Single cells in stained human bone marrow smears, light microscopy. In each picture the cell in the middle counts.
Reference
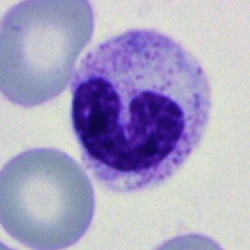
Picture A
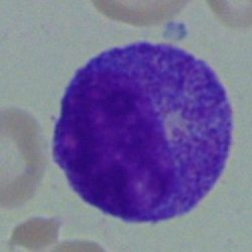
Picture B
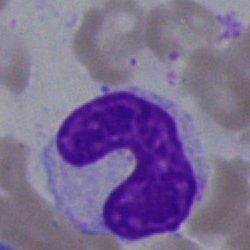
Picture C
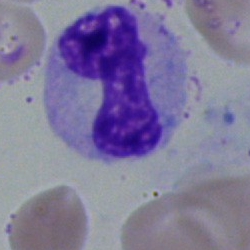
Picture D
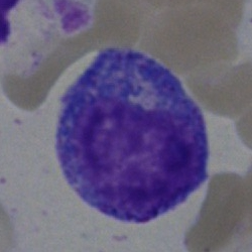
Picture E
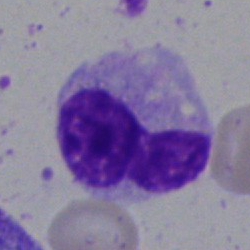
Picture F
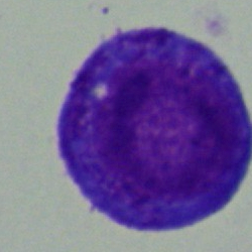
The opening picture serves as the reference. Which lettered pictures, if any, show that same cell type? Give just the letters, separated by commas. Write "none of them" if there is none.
B, C, E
